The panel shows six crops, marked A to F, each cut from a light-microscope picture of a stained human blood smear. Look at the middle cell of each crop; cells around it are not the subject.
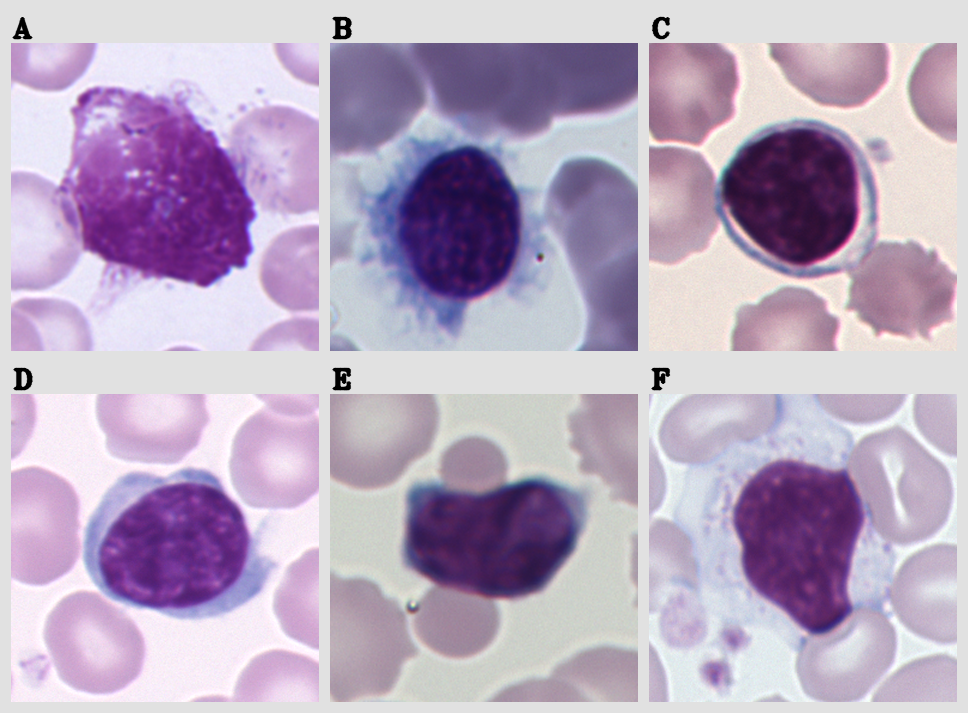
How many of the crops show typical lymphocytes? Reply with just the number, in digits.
3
